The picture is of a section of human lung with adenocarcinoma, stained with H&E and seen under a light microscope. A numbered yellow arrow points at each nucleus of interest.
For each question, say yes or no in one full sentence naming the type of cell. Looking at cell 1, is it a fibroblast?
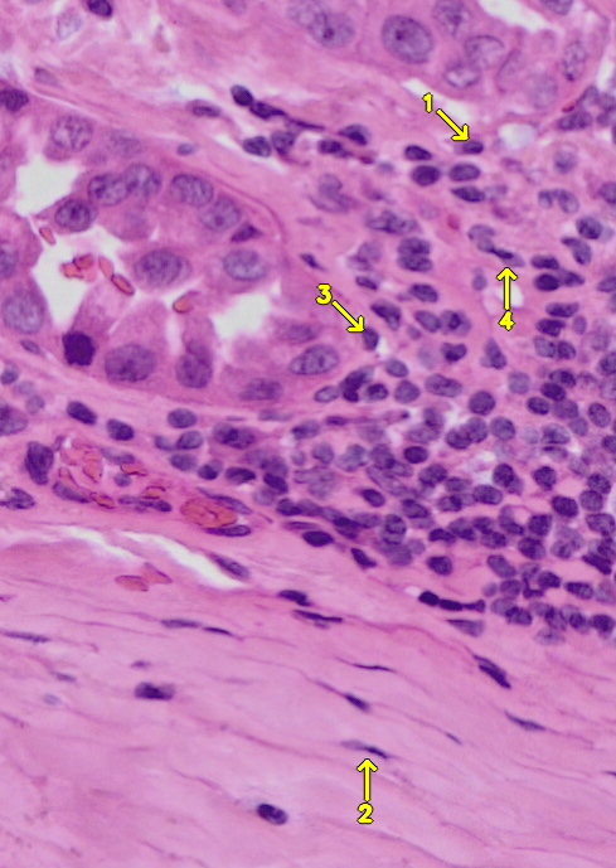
No, cell 1 has been misnamed; it is a lymphocyte, not a fibroblast.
